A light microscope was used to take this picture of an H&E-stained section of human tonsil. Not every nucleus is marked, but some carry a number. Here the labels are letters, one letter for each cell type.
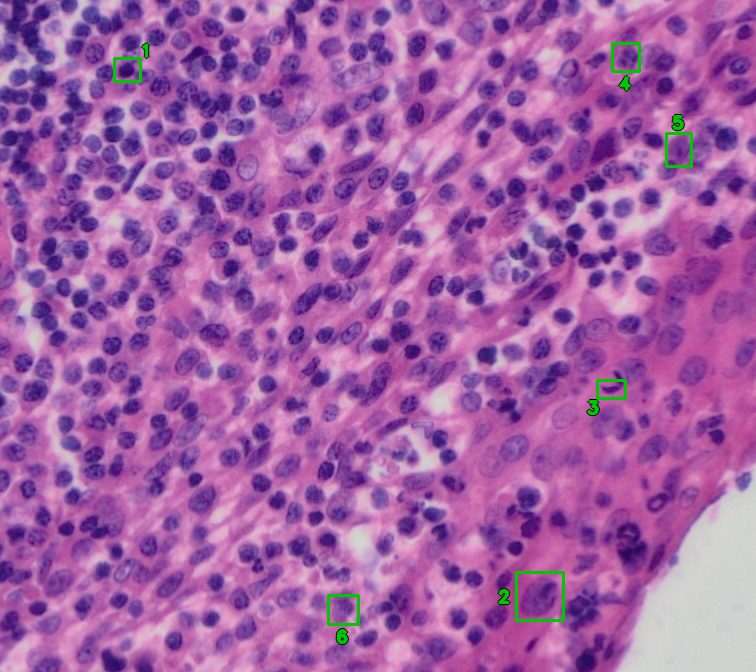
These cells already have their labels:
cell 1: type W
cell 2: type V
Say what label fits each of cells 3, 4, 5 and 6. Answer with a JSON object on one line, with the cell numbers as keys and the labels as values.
{"3": "type V", "4": "type W", "5": "type V", "6": "type V"}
